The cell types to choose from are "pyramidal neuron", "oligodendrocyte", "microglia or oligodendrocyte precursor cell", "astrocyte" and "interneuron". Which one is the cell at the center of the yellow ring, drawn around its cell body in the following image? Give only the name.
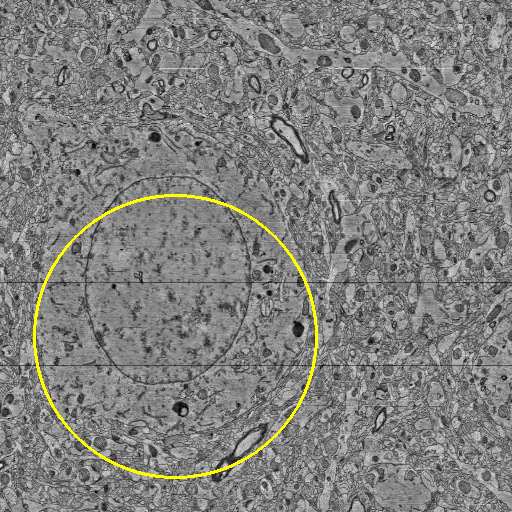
pyramidal neuron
